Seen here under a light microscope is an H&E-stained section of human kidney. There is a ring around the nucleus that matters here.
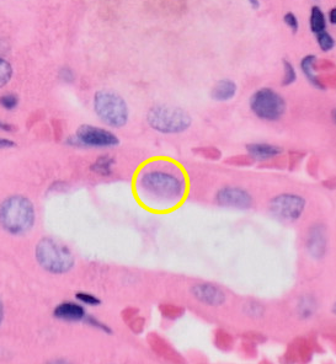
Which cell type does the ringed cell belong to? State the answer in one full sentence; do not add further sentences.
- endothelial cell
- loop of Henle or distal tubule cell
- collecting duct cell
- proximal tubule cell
It is as a loop of Henle or distal tubule cell that the ringed cell is recorded.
